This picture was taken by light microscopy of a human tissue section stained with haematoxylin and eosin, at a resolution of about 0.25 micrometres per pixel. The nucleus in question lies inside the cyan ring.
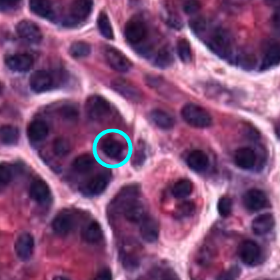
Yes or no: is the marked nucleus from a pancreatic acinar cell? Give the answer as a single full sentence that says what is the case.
Yes, it is a pancreatic acinar cell to which the marked nucleus belongs.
